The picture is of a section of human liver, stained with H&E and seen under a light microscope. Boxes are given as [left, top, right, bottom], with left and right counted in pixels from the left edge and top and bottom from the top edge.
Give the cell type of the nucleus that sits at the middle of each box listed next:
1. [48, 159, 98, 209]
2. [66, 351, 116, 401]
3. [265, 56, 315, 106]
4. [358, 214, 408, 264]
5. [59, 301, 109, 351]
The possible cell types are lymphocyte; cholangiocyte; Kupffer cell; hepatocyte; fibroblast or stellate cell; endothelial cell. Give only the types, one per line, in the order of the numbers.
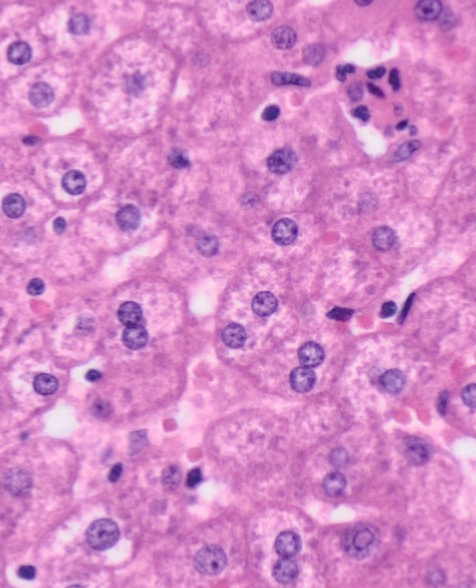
hepatocyte
lymphocyte
Kupffer cell
hepatocyte
hepatocyte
